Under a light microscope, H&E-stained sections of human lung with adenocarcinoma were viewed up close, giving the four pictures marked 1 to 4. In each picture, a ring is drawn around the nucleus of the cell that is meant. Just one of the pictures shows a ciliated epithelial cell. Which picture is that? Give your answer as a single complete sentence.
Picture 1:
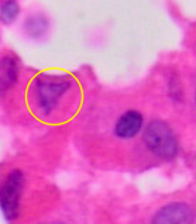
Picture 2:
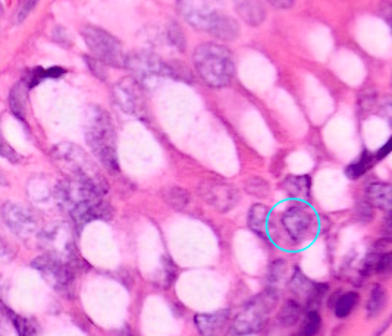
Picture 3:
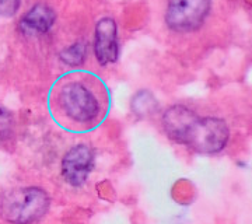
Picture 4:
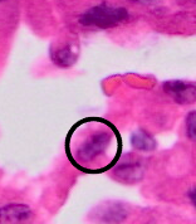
Picture 2 shows the ciliated epithelial cell.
